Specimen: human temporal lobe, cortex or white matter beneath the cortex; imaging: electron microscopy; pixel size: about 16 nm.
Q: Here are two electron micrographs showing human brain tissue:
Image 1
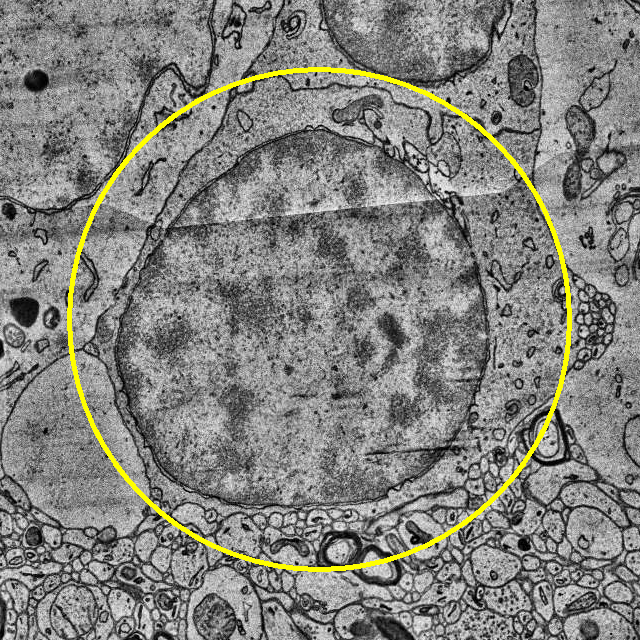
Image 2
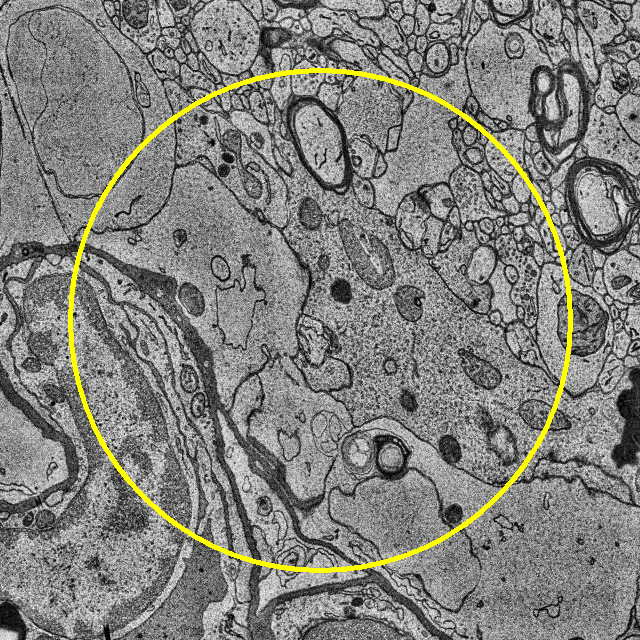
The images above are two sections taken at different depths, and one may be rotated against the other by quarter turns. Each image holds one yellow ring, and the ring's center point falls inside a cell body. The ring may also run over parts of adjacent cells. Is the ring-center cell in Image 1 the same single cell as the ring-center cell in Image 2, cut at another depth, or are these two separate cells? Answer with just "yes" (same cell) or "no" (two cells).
no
